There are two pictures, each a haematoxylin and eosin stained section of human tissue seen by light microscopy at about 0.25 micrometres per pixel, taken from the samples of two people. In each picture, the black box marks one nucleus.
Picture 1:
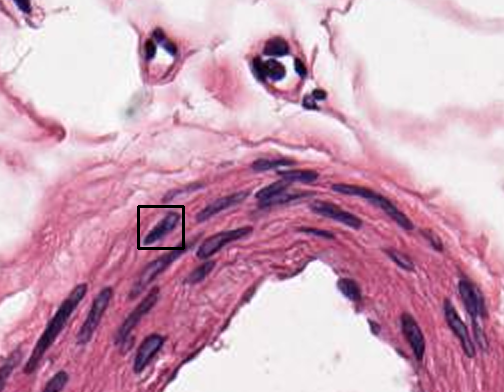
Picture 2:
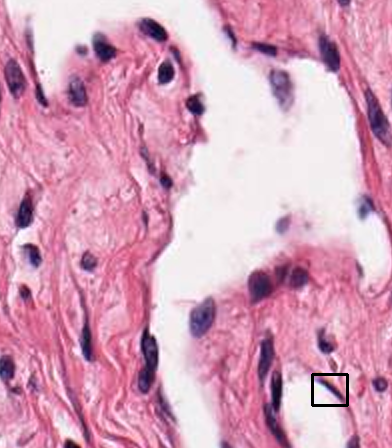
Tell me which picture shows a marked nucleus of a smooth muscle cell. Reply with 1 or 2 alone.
1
